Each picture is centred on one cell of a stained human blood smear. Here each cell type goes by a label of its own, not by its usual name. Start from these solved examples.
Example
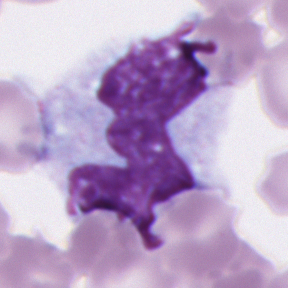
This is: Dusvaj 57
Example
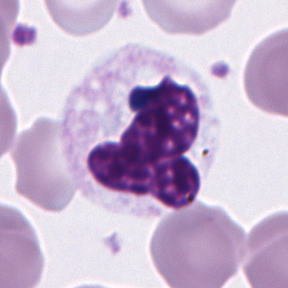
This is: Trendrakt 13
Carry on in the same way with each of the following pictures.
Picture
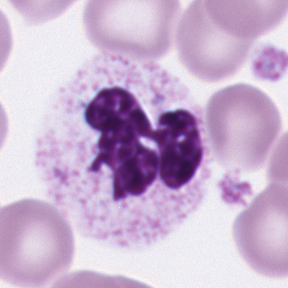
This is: Trendrakt 13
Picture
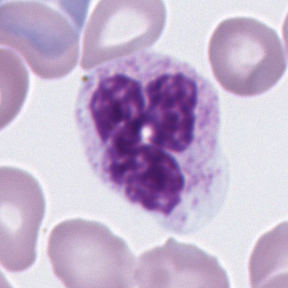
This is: Trendrakt 13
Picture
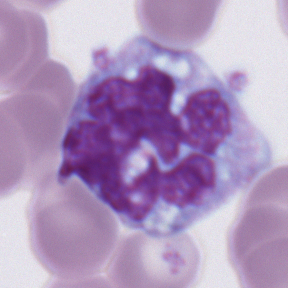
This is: Dusvaj 57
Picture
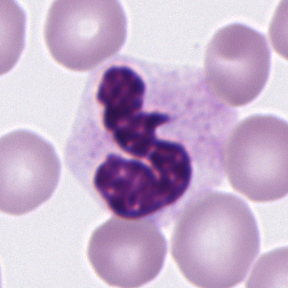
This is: Trendrakt 13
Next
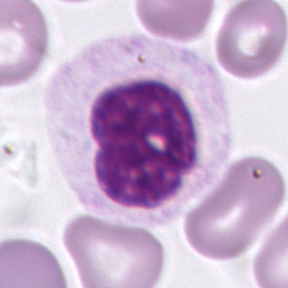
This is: Trendrakt 13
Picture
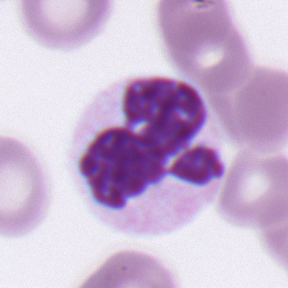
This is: Trendrakt 13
